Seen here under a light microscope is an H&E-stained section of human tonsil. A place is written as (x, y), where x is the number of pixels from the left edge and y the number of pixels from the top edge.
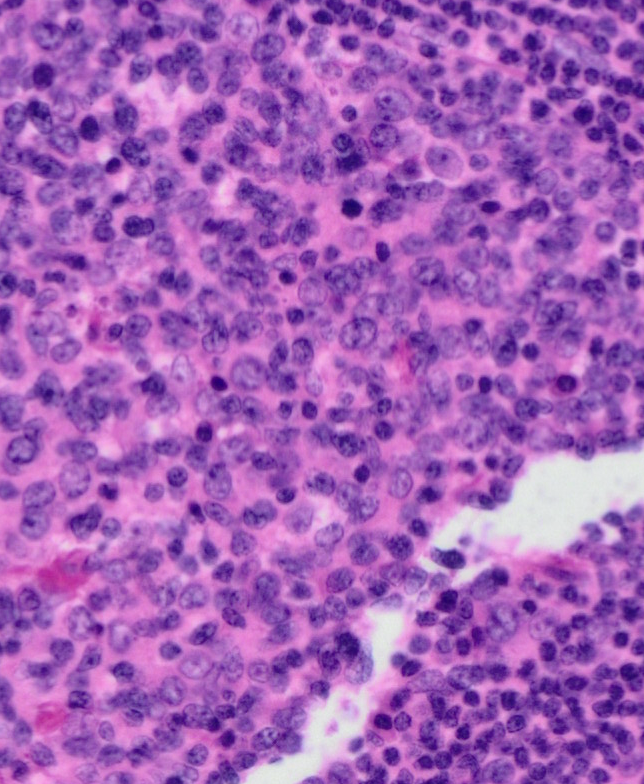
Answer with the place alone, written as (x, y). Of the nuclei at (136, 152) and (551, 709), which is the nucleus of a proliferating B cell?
(136, 152)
